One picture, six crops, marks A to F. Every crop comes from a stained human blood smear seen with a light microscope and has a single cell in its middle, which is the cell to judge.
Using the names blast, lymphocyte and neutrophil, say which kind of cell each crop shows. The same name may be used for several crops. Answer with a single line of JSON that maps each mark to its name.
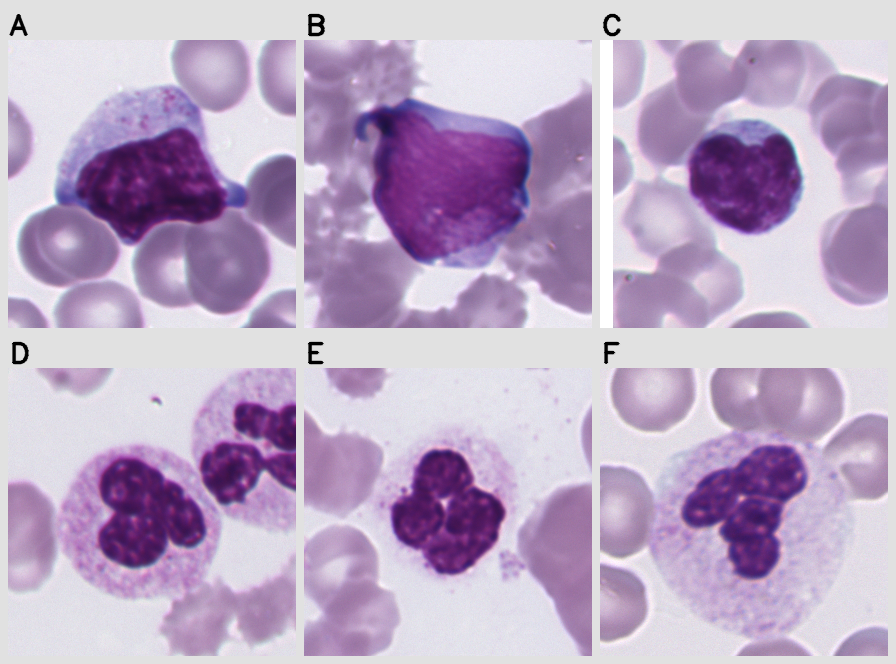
{"A": "lymphocyte", "B": "blast", "C": "lymphocyte", "D": "neutrophil", "E": "neutrophil", "F": "neutrophil"}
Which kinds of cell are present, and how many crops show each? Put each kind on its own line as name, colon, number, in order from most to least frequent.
neutrophil: 3
lymphocyte: 2
blast: 1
